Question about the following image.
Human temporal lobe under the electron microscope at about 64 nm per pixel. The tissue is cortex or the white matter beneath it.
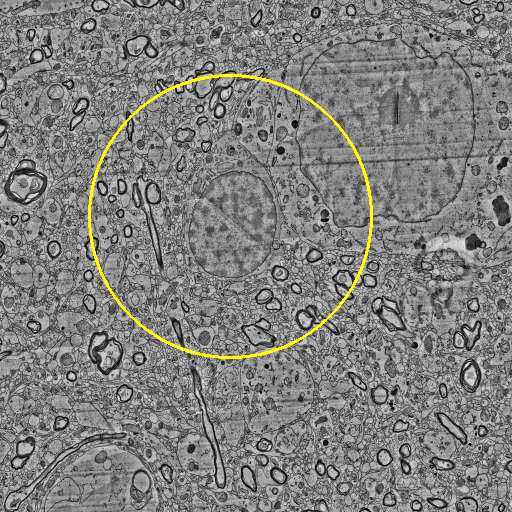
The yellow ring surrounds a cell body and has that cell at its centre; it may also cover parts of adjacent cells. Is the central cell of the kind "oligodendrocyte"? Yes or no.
Yes, it is of that kind.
